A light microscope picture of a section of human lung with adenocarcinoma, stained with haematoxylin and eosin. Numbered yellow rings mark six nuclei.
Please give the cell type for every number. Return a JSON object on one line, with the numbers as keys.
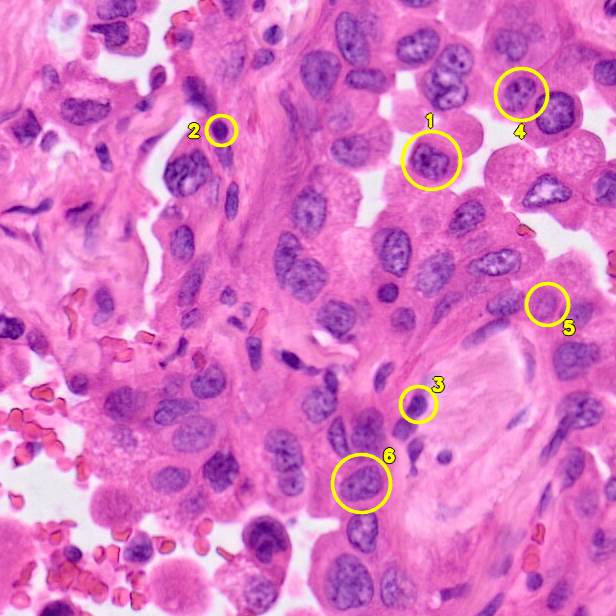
{"1": "carcinoma cell", "2": "lymphocyte", "3": "lymphocyte", "4": "carcinoma cell", "5": "carcinoma cell", "6": "carcinoma cell"}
